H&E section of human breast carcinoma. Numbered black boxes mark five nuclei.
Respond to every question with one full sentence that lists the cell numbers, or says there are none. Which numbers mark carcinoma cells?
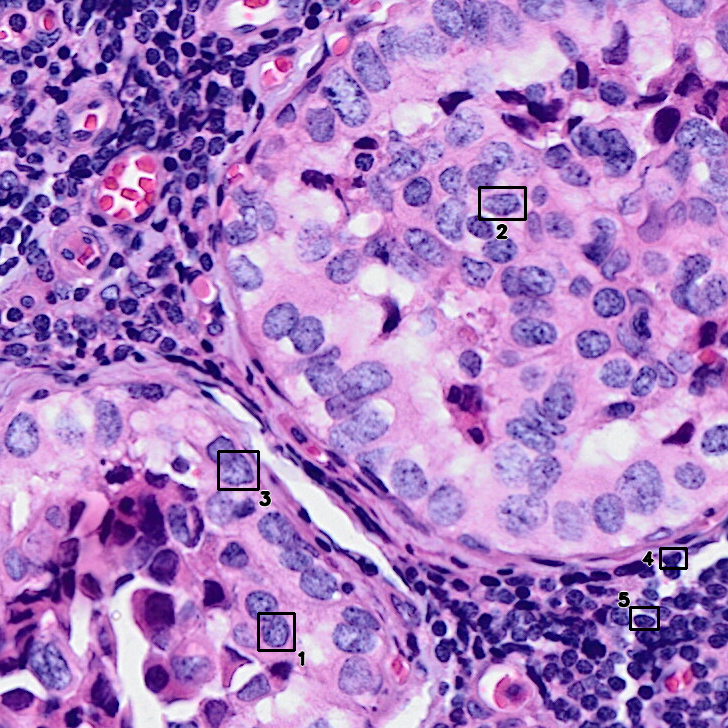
The cells carrying labels 1, 2 and 3 are carcinoma cells.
